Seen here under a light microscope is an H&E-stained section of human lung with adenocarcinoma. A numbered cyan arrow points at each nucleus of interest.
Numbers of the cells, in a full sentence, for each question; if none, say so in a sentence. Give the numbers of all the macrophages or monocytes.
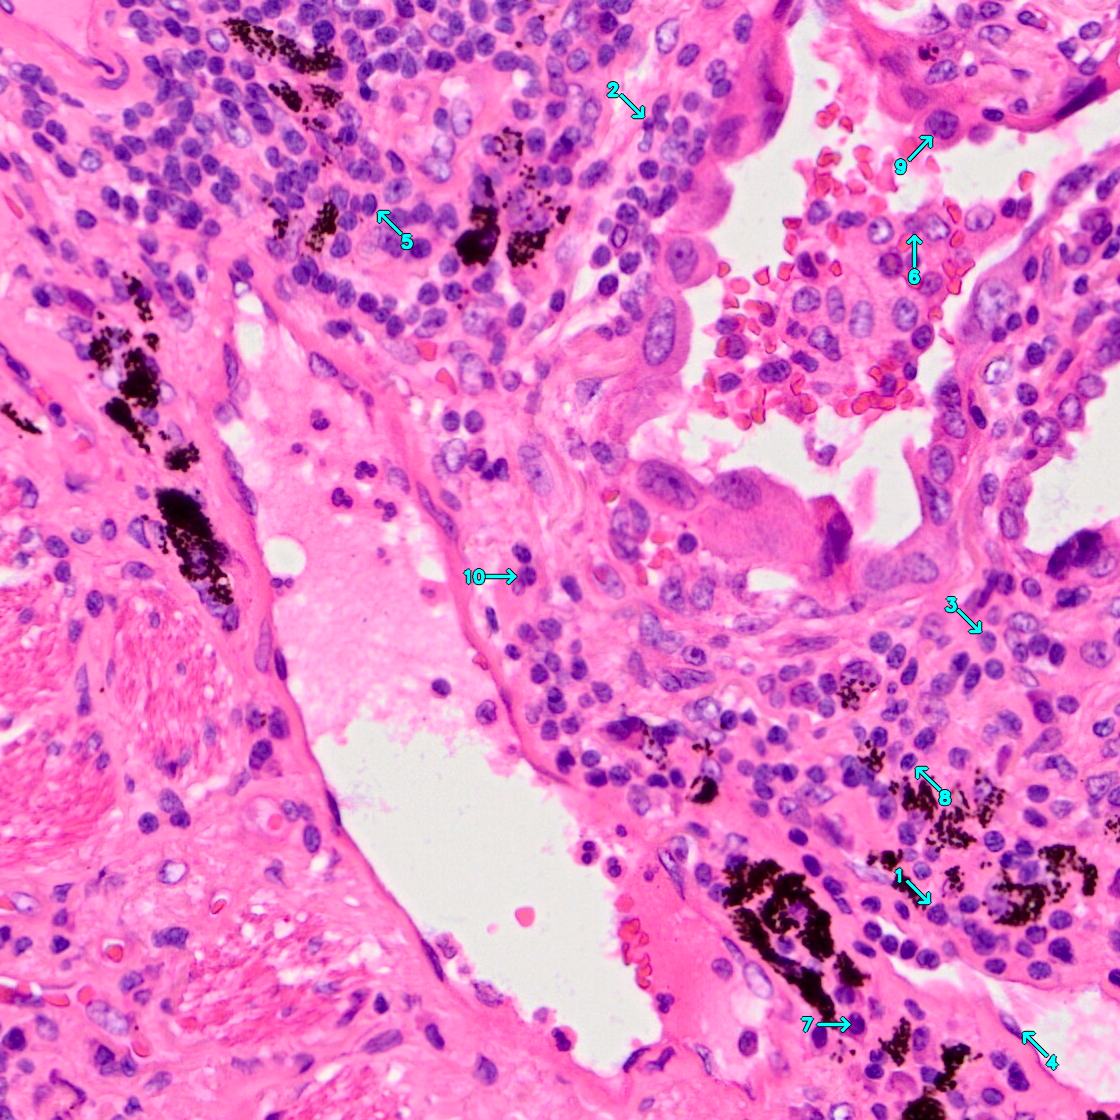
A single numbered cell, cell 6, is a macrophage or monocyte.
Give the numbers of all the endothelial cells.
No marked cell except number 4 is an endothelial cell.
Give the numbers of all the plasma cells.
Cell 7 is a plasma cell, whereas each of the other numbered cells is not.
